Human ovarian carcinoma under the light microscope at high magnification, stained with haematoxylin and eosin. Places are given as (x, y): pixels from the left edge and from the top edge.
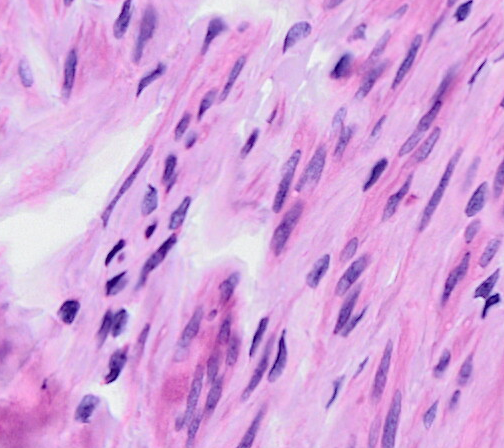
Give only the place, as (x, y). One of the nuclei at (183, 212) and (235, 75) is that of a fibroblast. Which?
(183, 212)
